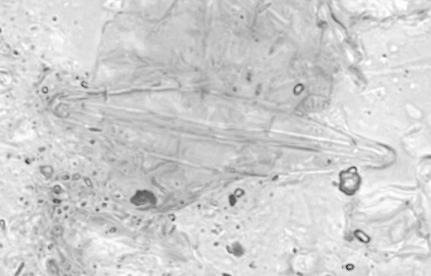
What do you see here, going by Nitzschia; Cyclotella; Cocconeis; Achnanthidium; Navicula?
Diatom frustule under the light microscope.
I see Navicula.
